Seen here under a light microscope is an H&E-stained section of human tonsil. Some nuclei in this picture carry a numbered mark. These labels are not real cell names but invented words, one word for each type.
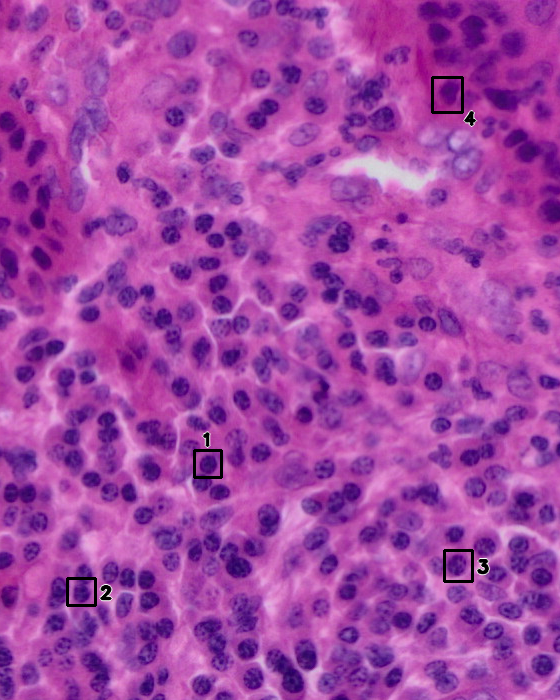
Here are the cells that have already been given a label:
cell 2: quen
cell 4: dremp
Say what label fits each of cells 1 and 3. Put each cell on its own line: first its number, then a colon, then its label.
1: quen
3: quen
